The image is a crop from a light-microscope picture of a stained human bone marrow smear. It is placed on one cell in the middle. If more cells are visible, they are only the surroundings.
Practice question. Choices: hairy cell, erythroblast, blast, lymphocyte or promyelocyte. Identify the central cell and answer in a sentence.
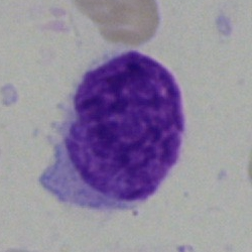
On this slide crop, the central cell is a hairy cell.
